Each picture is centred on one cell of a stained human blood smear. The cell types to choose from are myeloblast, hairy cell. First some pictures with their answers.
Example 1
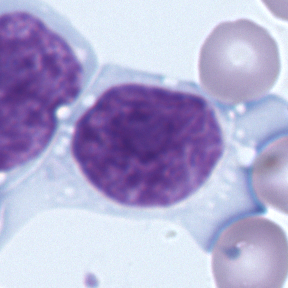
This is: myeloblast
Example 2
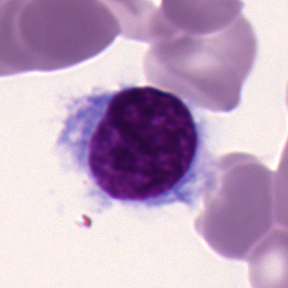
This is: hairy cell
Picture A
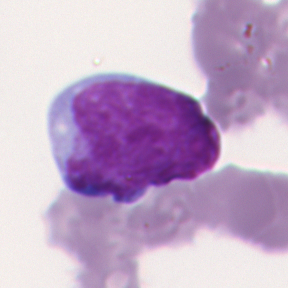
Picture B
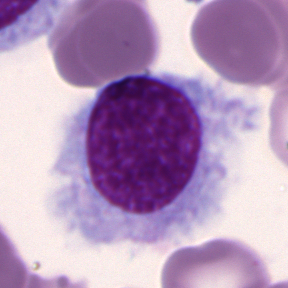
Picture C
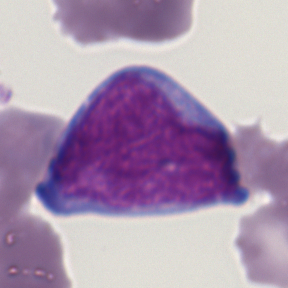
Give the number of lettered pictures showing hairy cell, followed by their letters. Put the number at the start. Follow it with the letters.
Count: 1 (B)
